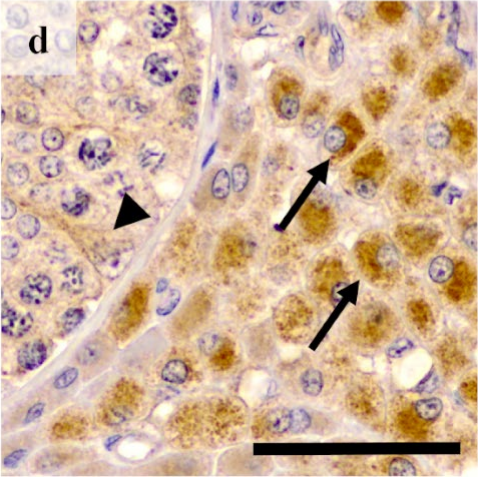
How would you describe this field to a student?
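Interstitial tissue of the testis with Leydig cells lies beside part of a seminiferous tubule lined by germ cells and Sertoli cells. The Leydig cells are polygonal, closely packed, with round pale nuclei and strongly brown granular cytoplasm, while the tubular epithelium on the other side of the thin wall shows only faint brown cytoplasm and blue nuclei, some with condensed chromatin.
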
